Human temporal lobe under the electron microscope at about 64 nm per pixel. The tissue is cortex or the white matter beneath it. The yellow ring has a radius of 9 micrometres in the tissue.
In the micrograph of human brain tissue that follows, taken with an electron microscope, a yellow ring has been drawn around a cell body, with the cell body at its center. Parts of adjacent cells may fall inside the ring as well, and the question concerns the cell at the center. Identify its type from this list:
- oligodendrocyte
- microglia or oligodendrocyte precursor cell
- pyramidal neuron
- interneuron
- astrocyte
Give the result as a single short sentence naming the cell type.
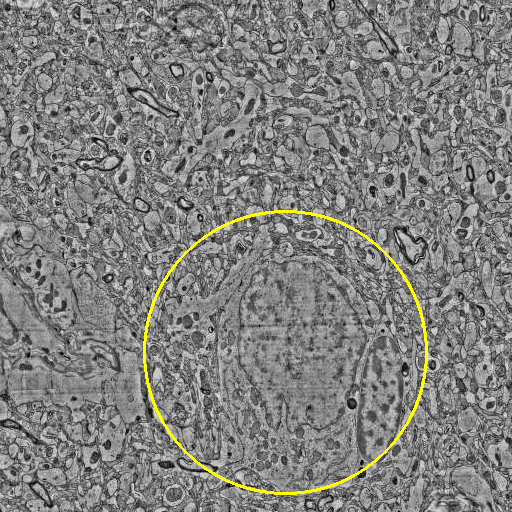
The ring is centered on an interneuron.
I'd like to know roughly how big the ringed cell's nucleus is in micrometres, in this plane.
In this plane, about 11 micrometres in length and 8 in width.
